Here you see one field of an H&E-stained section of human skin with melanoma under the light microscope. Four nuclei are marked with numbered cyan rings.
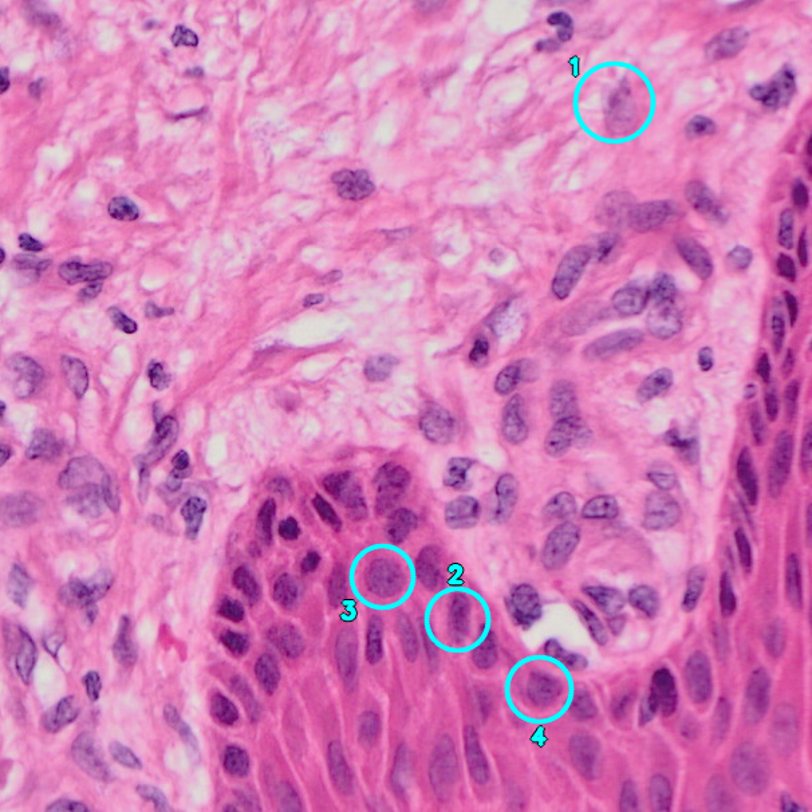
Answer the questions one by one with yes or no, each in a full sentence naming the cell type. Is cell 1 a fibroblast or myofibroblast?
Yes, the cell with the number 1 is a fibroblast or myofibroblast.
